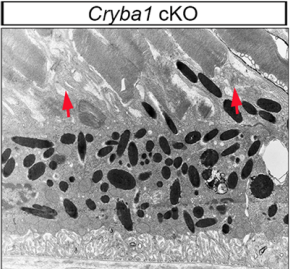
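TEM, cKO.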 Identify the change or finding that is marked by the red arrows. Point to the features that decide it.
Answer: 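The arrows point to thin apical processes at the top of a granule-laden cell layer. The processes lie irregularly rather than extending in an orderly way between the stacked membrane structures above. That points to this answer: disorganized microvilli.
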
